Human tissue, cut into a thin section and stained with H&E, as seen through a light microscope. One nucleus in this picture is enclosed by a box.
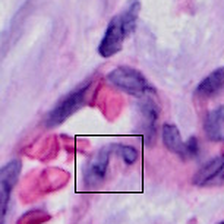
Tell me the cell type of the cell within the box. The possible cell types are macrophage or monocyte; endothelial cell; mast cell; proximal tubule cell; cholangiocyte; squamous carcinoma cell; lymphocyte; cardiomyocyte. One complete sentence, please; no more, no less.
Labelled by cell type, the cell within the box is an endothelial cell.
